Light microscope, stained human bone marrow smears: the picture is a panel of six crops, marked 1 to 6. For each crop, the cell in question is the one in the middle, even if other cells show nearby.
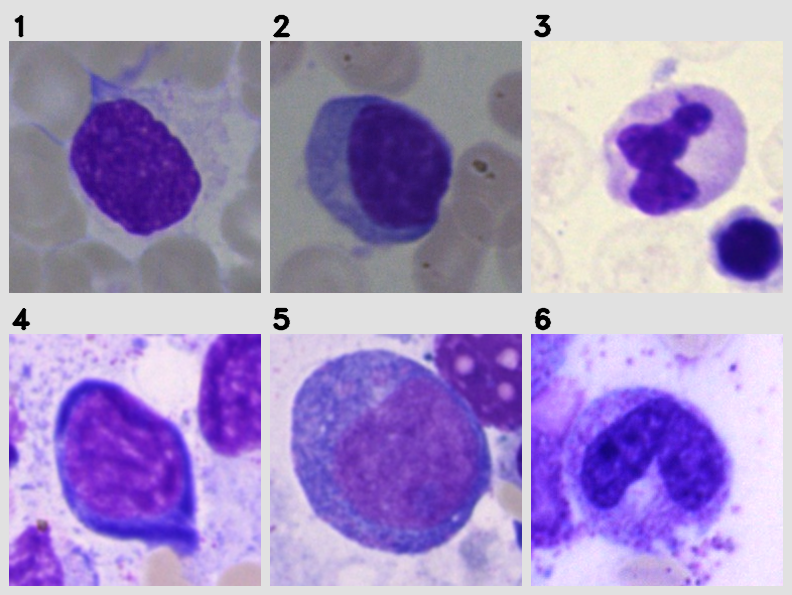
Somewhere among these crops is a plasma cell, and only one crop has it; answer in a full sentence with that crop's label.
Crop 2 is the crop in which a plasma cell is shown.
